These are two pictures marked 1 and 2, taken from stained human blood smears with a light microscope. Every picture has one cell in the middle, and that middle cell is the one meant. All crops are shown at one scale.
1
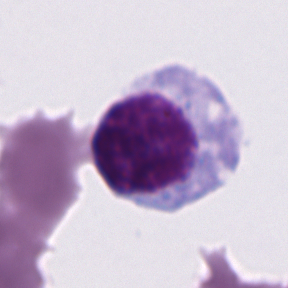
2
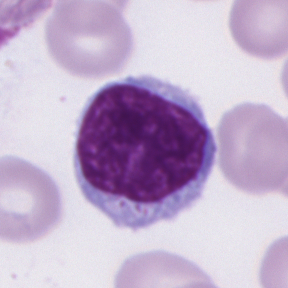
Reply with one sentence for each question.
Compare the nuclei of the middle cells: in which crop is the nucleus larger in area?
The nucleus in crop 2 is larger, with about 1.5 times the area of the one in crop 1.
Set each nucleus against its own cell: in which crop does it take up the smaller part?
The nucleus fills less of the cell in crop 1 than in crop 2.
